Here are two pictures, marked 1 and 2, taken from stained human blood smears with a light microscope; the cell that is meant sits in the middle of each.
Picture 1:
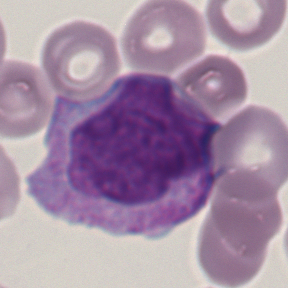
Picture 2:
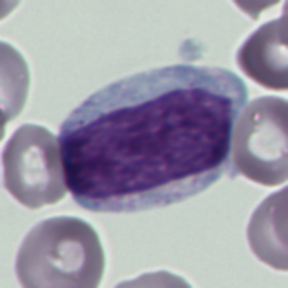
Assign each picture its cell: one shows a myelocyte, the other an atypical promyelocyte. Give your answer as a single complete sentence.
Picture 2 shows a myelocyte, while picture 1 shows an atypical promyelocyte.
